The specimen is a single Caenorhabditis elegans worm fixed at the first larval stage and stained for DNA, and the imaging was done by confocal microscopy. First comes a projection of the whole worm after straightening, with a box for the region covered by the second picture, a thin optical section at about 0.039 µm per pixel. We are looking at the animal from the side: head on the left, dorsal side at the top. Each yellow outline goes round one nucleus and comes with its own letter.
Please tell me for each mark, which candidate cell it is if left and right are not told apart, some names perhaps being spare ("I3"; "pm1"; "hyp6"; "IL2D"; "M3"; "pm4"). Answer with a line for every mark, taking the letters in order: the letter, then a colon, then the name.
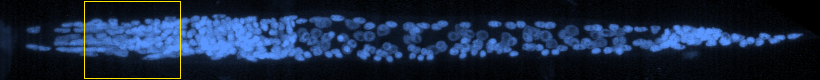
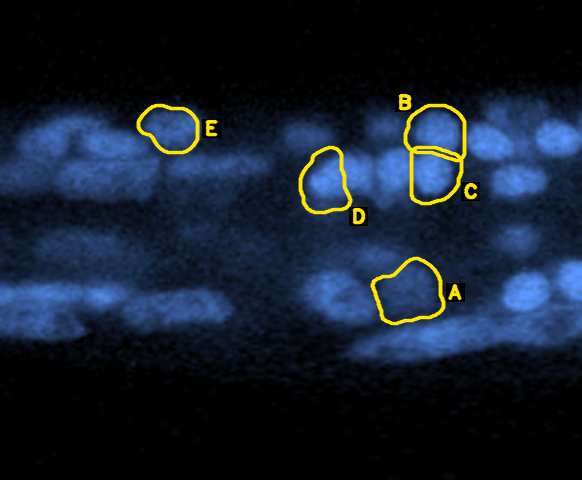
A: pm4
B: IL2D
C: I3
D: pm1
E: hyp6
